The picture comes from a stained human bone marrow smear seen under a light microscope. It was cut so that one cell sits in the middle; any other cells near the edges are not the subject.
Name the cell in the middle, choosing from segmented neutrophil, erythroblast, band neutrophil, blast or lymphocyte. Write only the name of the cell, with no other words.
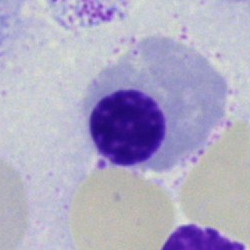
erythroblast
